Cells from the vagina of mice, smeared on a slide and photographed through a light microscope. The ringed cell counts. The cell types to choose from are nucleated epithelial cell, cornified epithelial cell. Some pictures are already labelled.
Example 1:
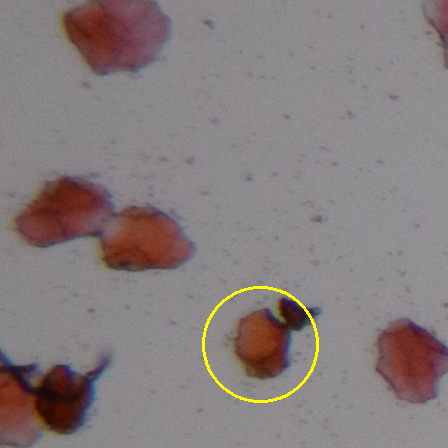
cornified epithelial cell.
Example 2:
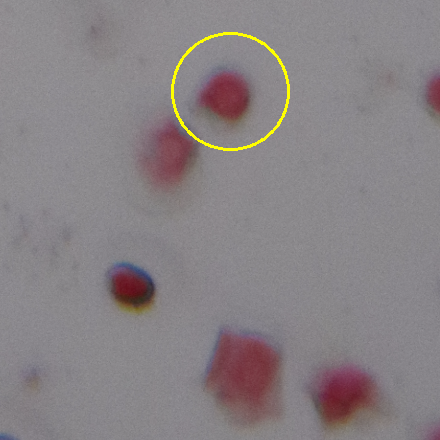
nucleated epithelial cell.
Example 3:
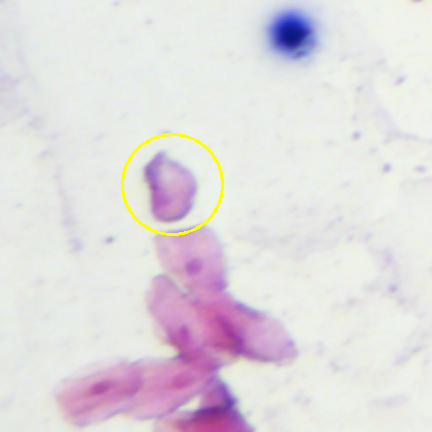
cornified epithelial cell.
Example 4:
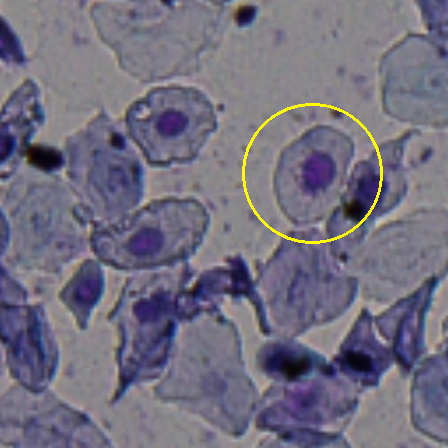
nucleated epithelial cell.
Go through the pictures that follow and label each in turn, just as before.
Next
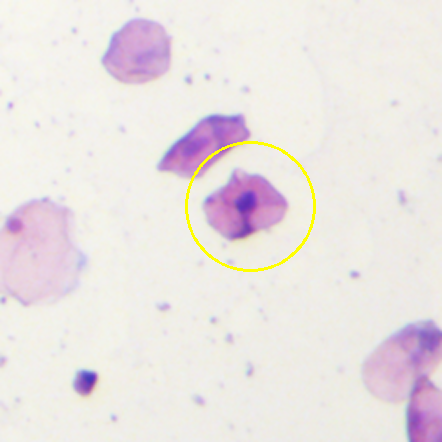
nucleated epithelial cell.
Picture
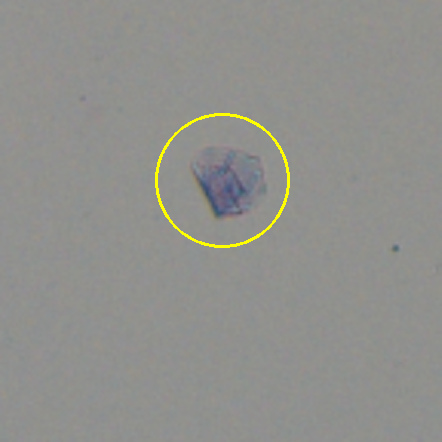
cornified epithelial cell.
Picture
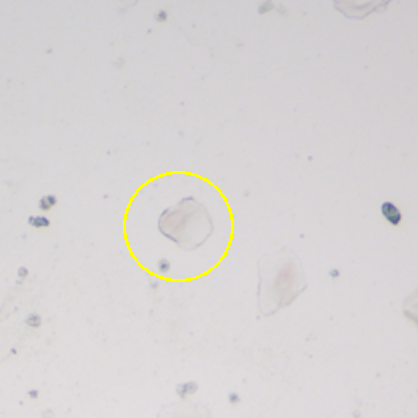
cornified epithelial cell.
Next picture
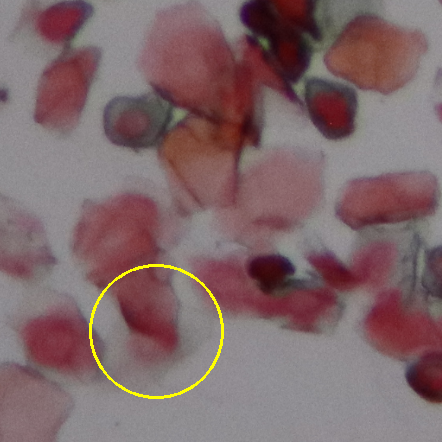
cornified epithelial cell.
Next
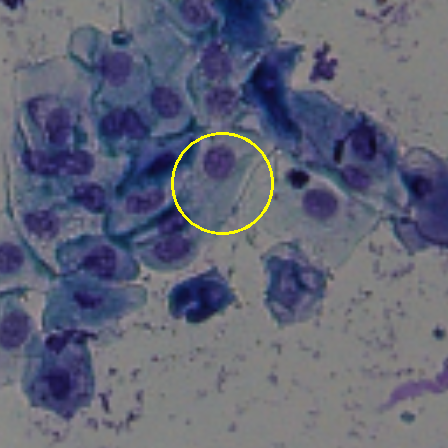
nucleated epithelial cell.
